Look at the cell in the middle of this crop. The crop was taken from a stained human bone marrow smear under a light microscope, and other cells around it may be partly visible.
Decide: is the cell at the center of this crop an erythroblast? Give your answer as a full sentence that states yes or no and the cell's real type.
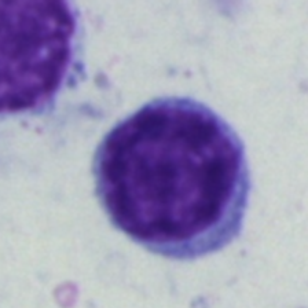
No, the centrally located cell is a lymphocyte rather than an erythroblast.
